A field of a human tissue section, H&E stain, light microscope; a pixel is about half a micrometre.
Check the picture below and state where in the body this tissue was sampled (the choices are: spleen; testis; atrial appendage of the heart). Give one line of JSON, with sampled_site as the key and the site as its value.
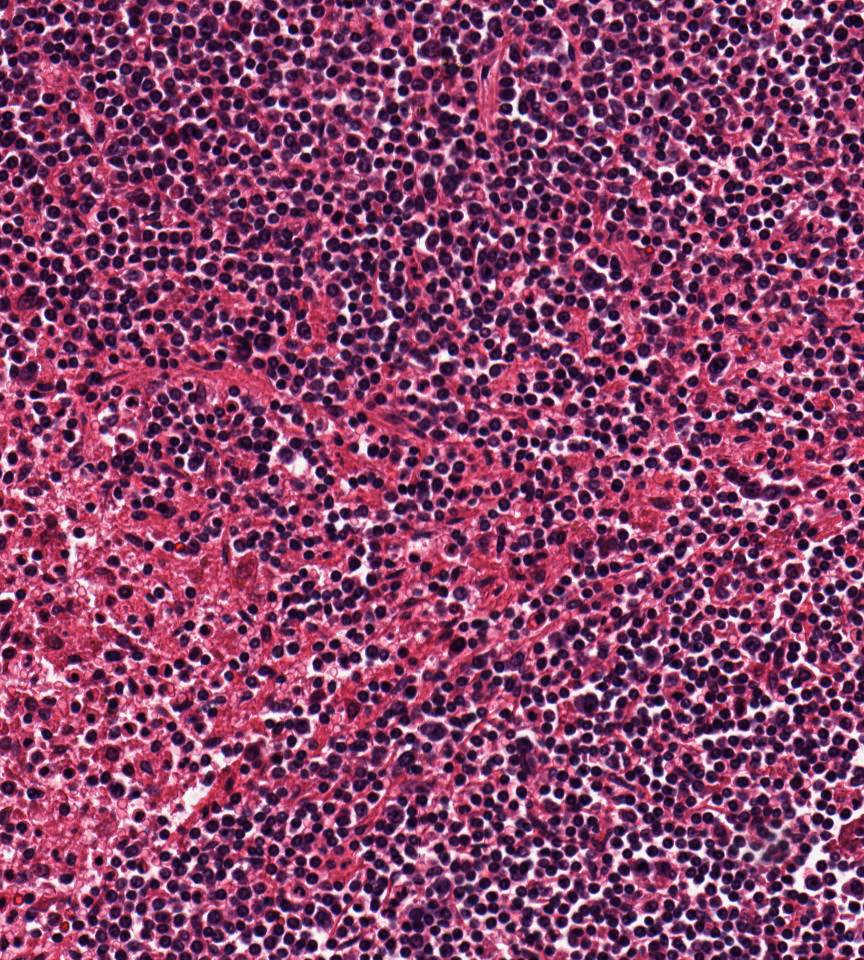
{"sampled_site": "spleen"}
